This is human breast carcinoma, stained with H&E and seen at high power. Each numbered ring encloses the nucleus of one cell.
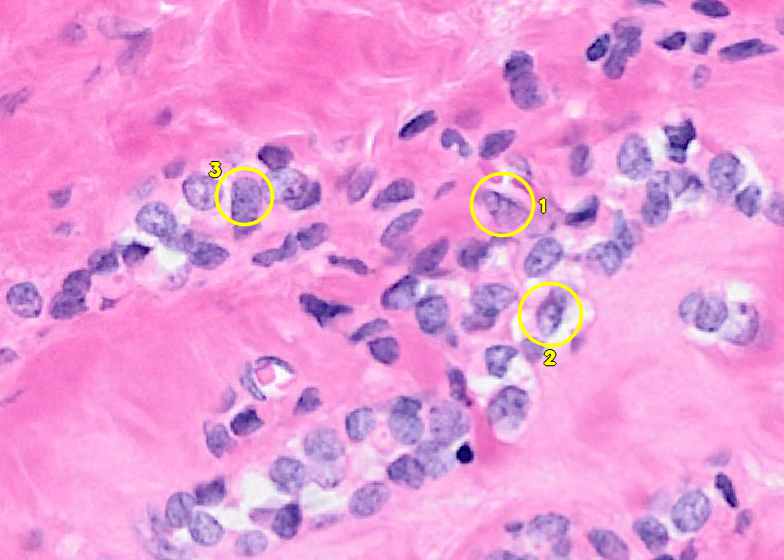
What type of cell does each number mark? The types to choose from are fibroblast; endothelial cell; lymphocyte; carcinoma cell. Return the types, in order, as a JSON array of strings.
["endothelial cell", "carcinoma cell", "carcinoma cell"]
